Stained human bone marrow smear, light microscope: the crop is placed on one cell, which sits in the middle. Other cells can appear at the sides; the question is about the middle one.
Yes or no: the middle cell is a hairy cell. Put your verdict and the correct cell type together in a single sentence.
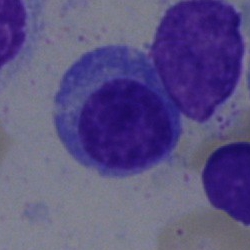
No, a plasma cell rather than a hairy cell is the cell at the centre of the crop.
